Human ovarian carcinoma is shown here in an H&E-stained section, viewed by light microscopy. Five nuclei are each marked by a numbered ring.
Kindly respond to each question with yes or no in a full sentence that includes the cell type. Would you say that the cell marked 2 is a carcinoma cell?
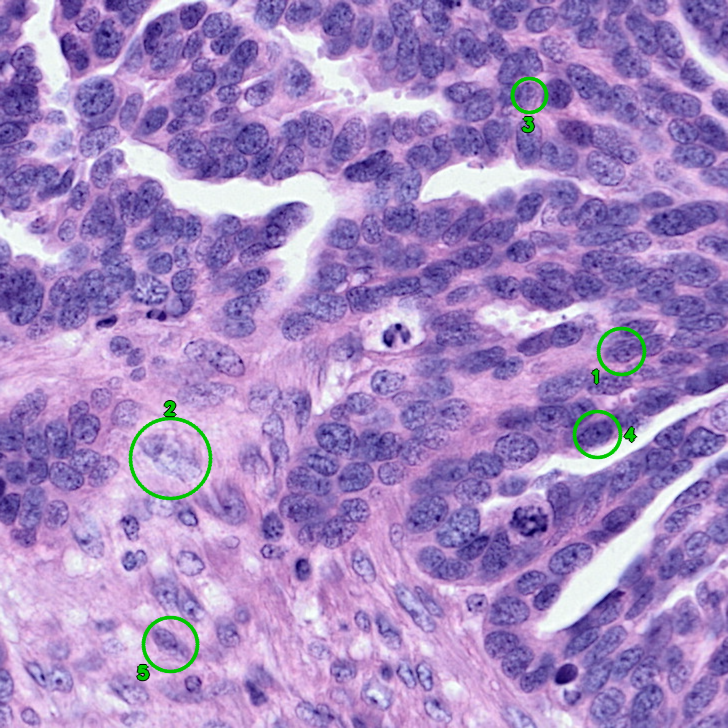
No, the cell given number 2 is a fibroblast, not a carcinoma cell.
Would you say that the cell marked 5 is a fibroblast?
Yes, the cell marked with number 5 is a fibroblast.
